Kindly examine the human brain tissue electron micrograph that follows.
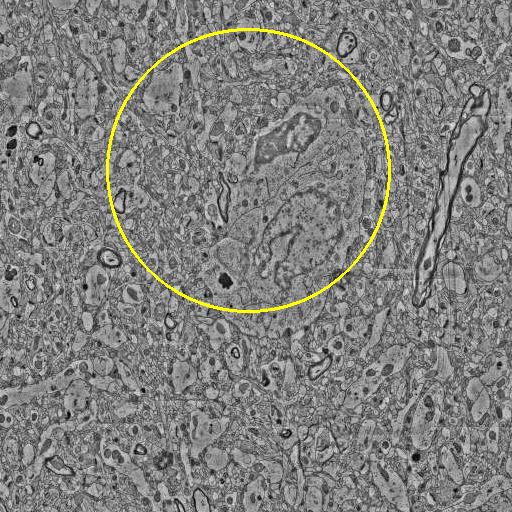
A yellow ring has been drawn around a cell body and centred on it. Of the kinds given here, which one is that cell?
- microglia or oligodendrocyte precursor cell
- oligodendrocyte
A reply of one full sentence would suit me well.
The micrograph's ringed cell, the one at the ring's centre, is a microglial cell or oligodendrocyte precursor cell.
